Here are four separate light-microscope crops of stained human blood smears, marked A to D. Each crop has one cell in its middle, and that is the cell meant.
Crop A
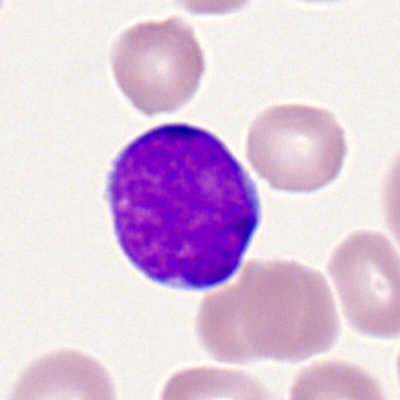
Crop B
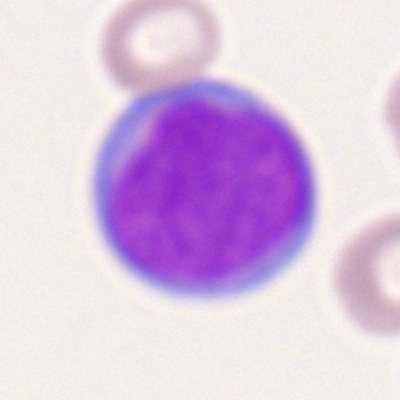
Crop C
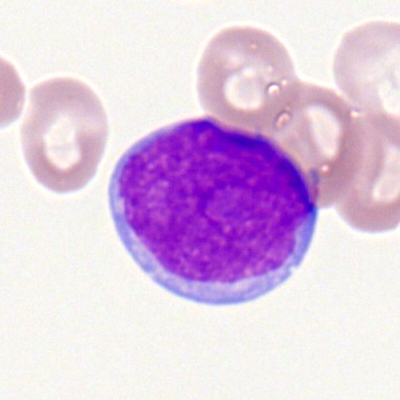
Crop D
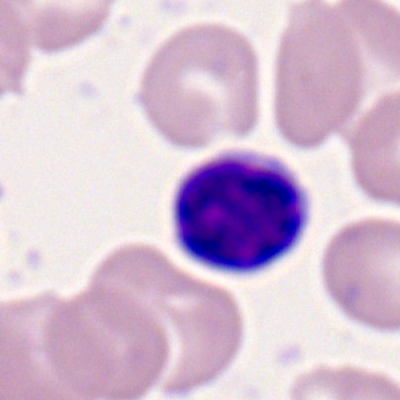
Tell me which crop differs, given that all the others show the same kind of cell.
D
